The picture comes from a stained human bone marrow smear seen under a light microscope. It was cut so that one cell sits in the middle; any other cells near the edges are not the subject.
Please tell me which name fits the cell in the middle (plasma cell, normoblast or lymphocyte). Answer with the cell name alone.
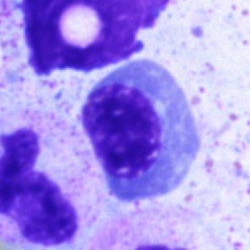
normoblast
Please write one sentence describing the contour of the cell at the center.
The outline traces a smooth curve with no projections along it.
